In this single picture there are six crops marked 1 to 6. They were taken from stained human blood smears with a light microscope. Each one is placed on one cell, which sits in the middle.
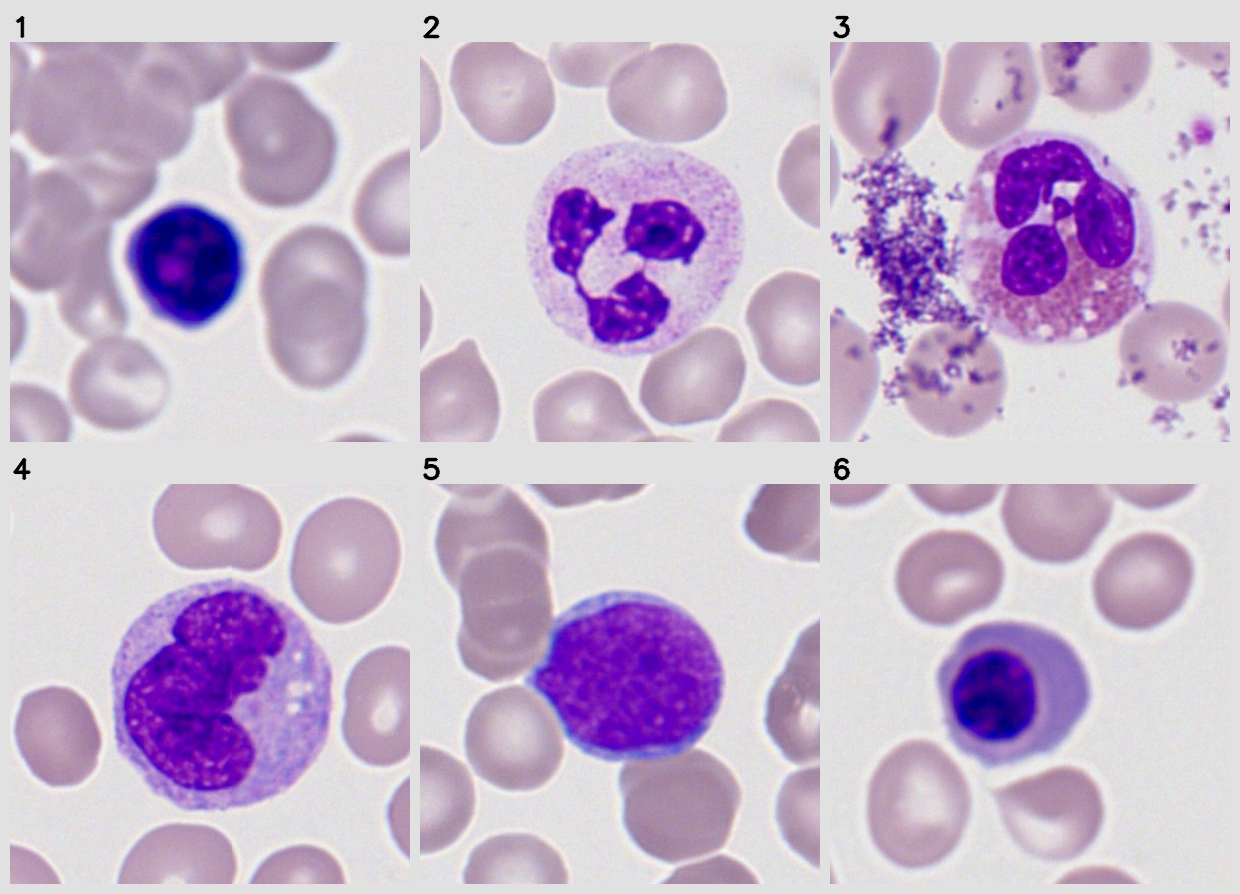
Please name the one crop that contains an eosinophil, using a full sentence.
Among the crops given, only crop 3 shows an eosinophil.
